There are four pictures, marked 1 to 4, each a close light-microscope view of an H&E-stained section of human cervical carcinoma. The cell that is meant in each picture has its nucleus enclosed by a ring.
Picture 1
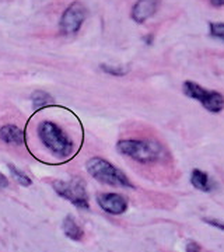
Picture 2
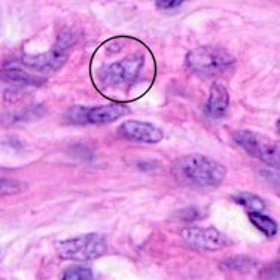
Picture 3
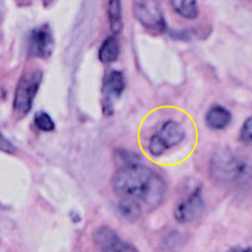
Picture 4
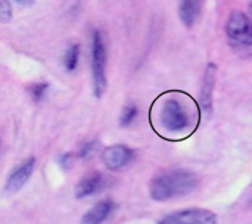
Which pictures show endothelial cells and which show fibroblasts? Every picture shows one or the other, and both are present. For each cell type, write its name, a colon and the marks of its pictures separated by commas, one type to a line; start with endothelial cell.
endothelial cell: 1, 2, 3
fibroblast: 4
